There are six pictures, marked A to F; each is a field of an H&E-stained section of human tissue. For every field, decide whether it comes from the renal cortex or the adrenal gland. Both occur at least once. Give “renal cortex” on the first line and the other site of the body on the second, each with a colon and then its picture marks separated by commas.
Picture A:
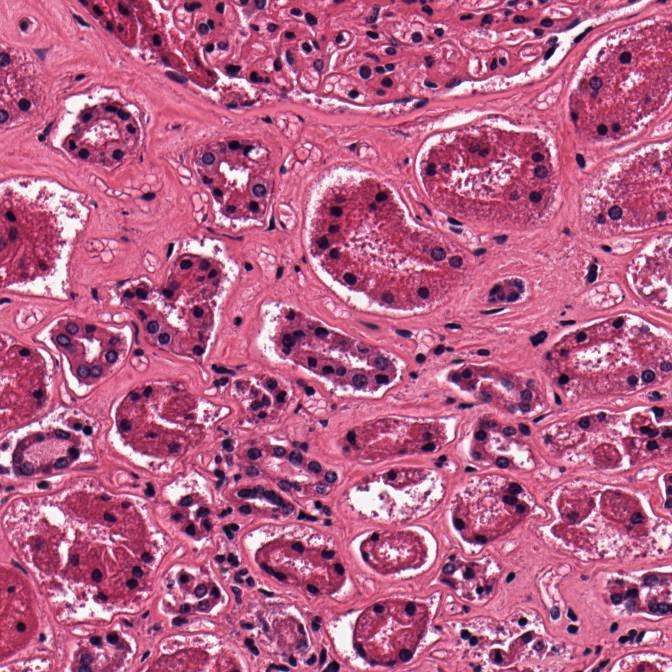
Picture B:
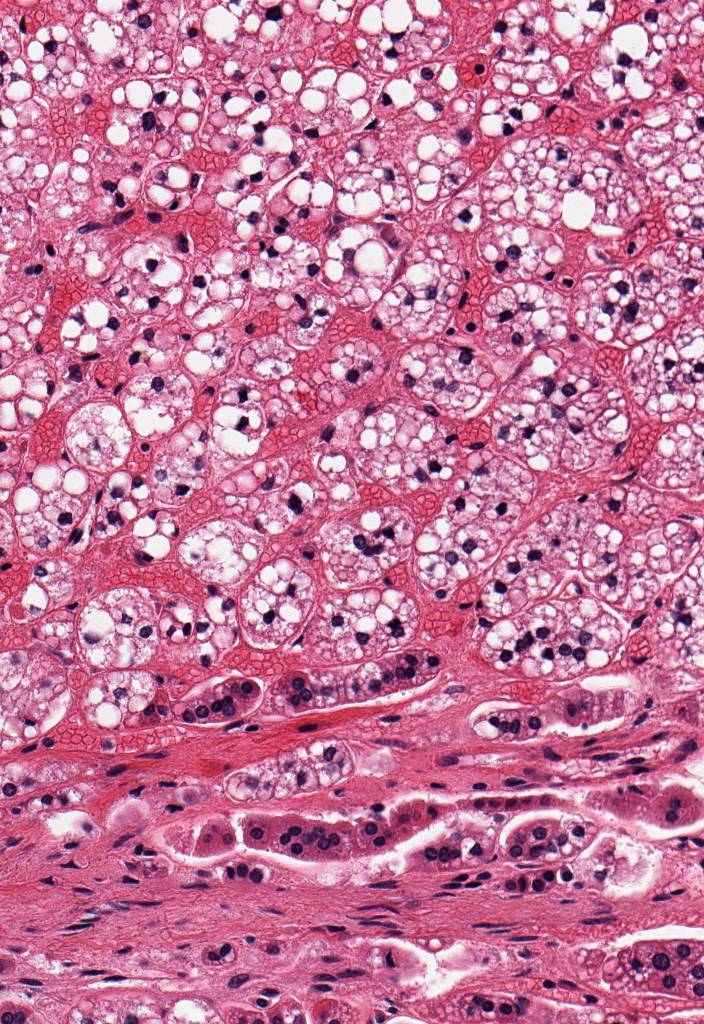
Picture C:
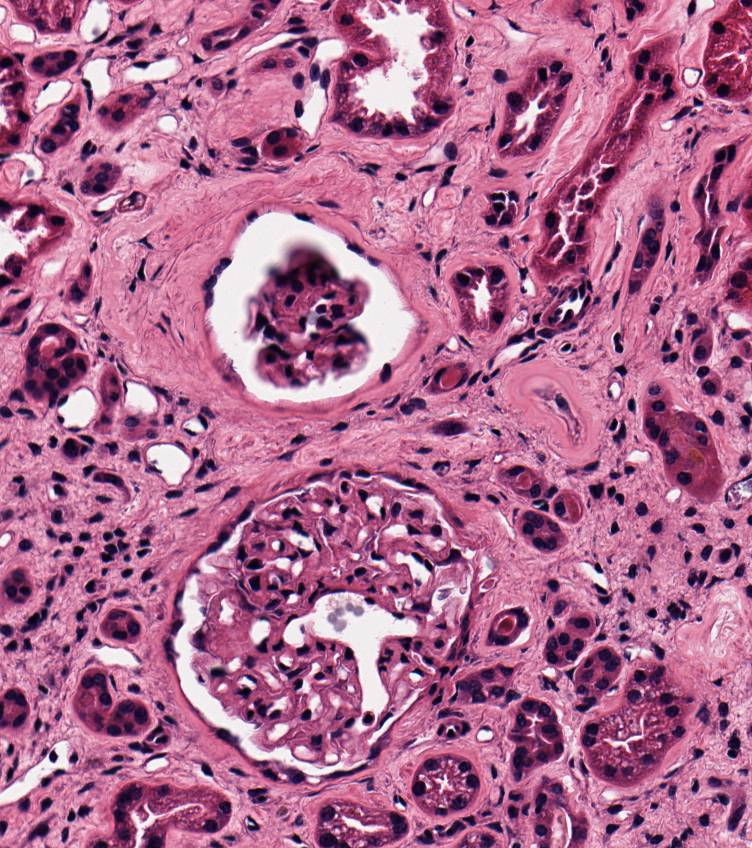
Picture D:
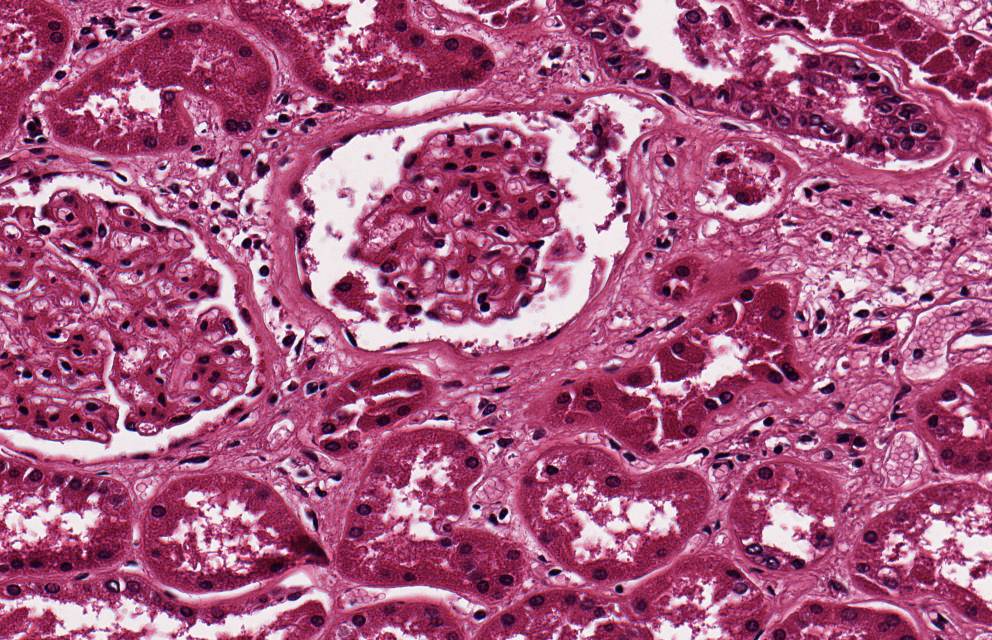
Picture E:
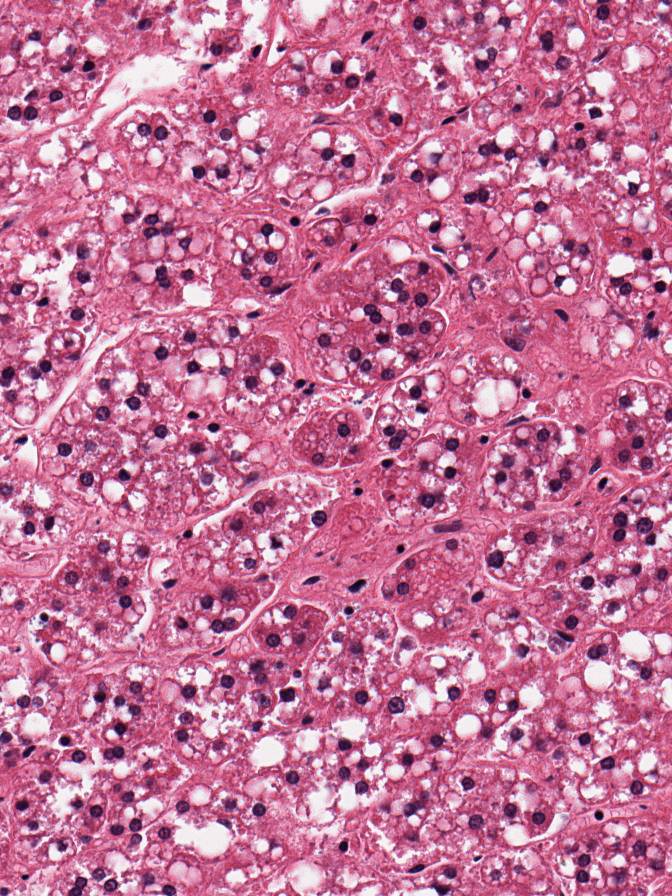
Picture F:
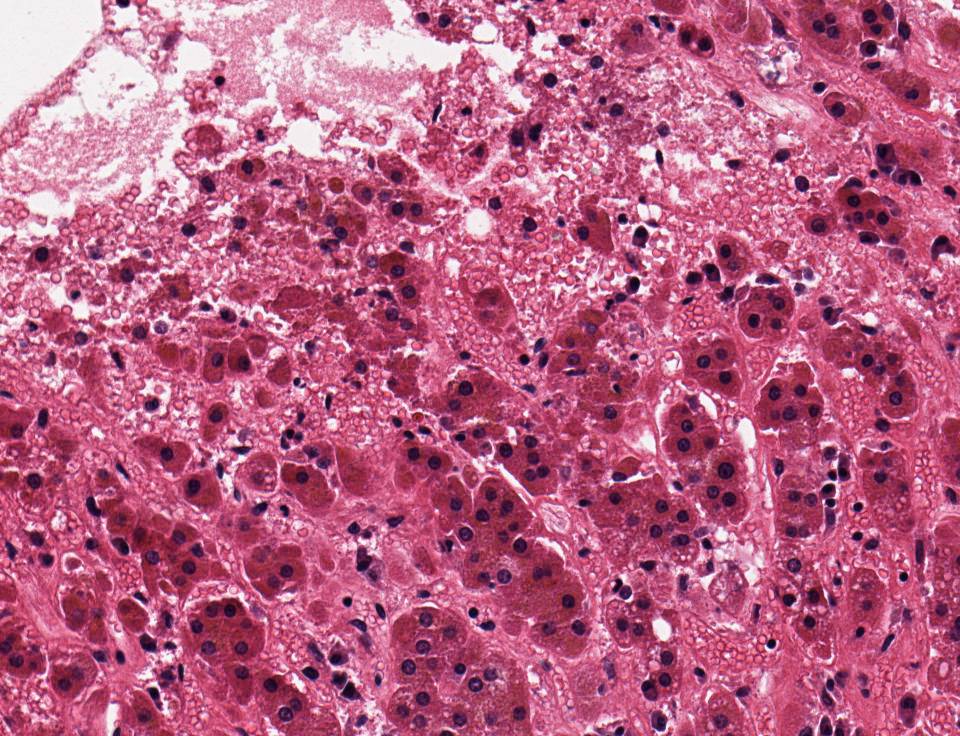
renal cortex: A, C, D
adrenal gland: B, E, F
